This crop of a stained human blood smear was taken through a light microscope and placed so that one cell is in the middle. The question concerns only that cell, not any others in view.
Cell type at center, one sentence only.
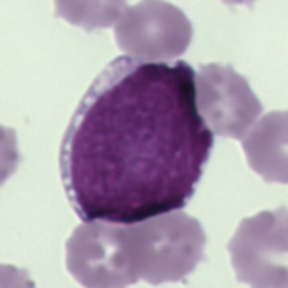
The target cell in the middle of the crop is a myeloblast.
